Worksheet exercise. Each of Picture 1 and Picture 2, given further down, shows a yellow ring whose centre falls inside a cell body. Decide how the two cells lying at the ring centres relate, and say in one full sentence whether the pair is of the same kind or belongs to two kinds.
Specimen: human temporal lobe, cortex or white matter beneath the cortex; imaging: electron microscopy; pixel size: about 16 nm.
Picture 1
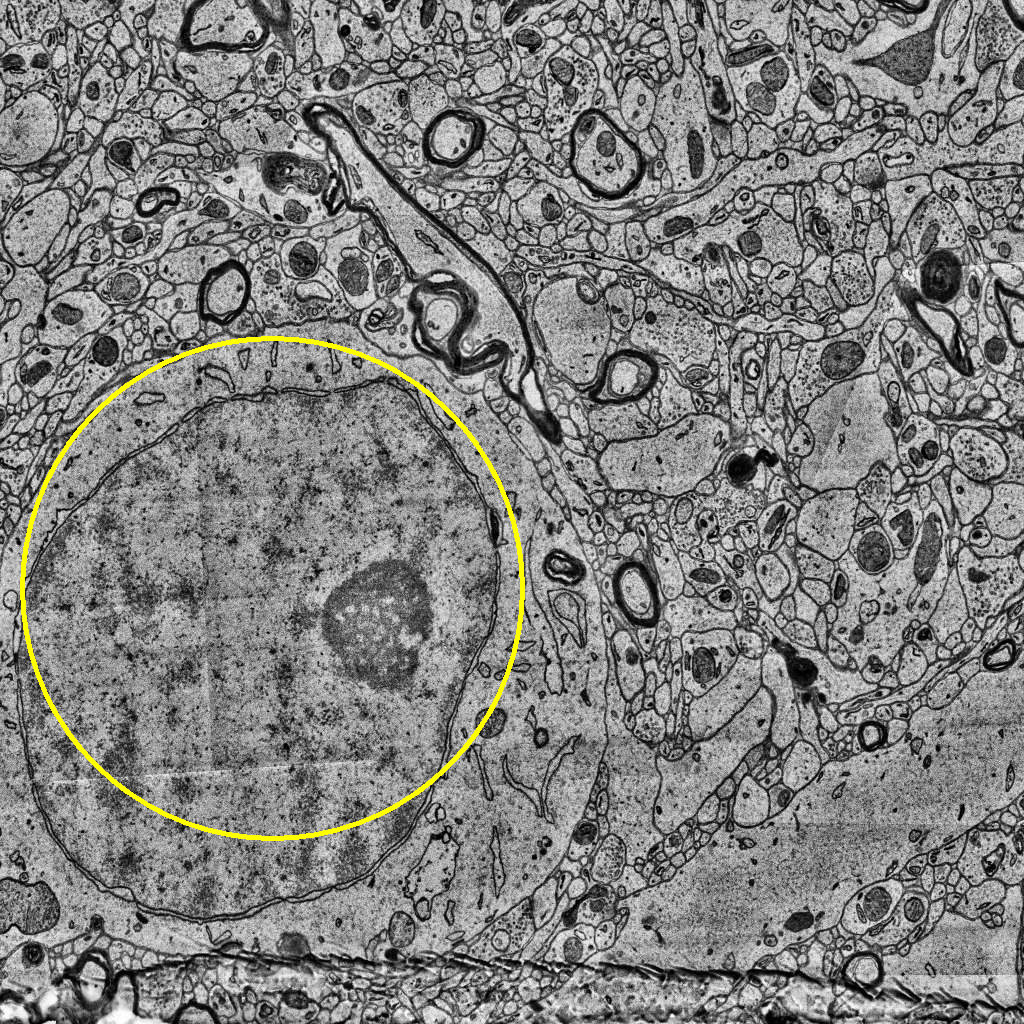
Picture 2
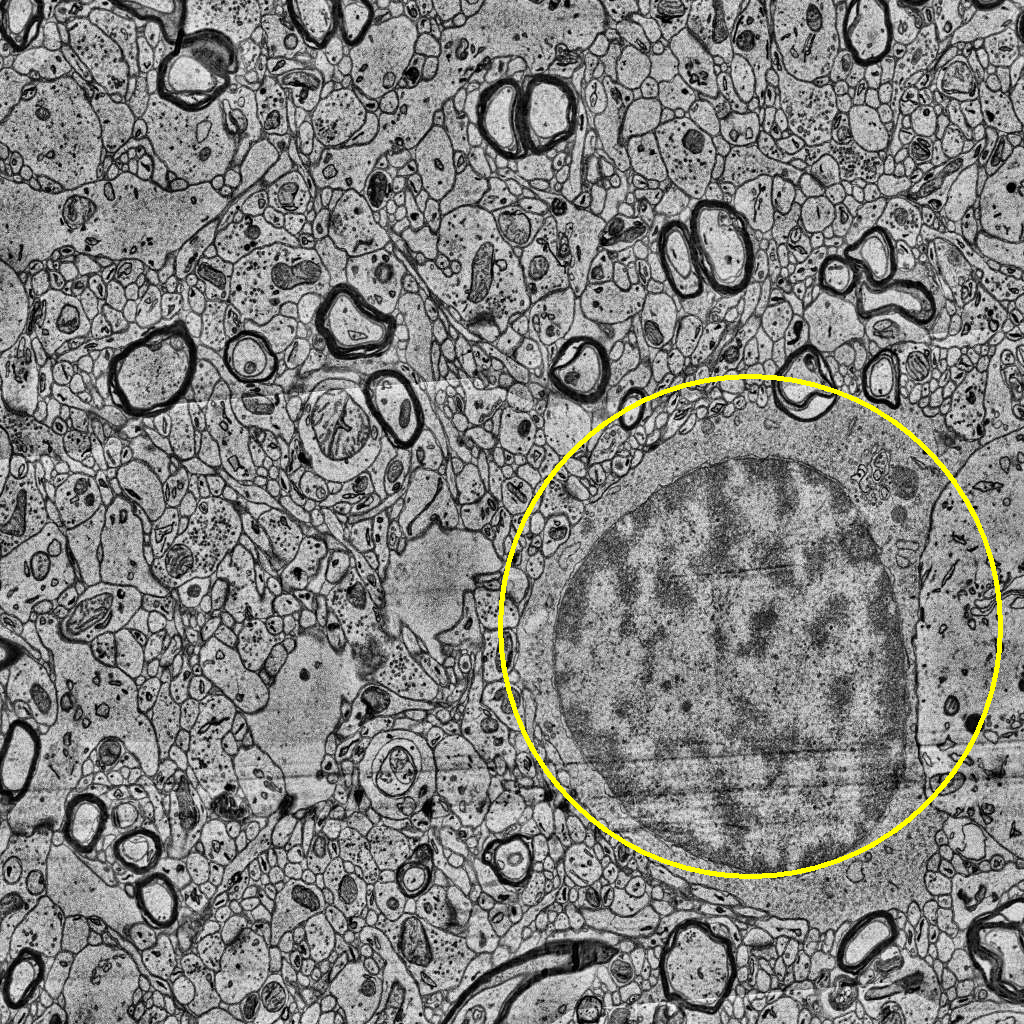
The cells at the ring centres in Picture 1 and Picture 2 belong to two kinds.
